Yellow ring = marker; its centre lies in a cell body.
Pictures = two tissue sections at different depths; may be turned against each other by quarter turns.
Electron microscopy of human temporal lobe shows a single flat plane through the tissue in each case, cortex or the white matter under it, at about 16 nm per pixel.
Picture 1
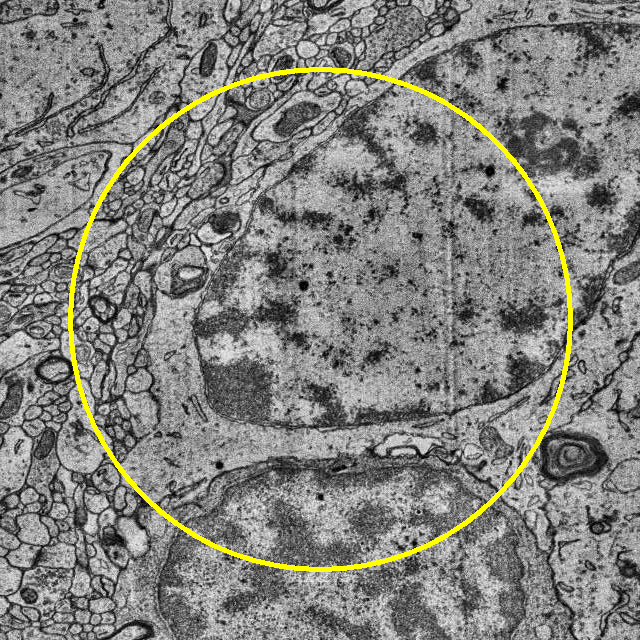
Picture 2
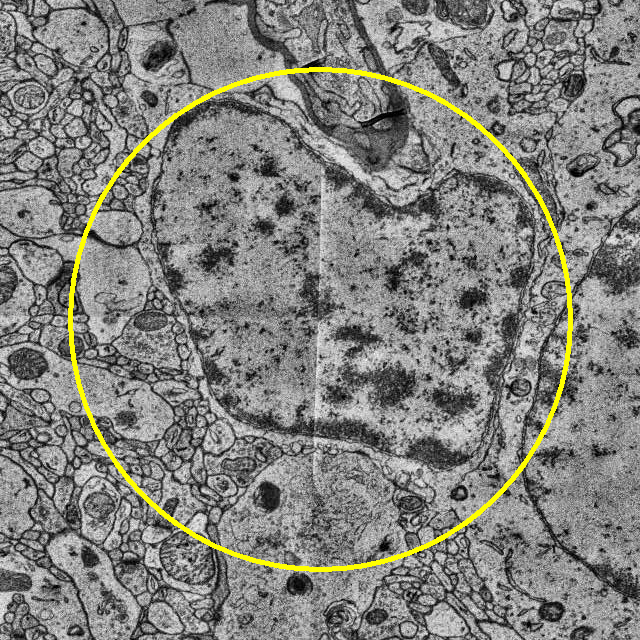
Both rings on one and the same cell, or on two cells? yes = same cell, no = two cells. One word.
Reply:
no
